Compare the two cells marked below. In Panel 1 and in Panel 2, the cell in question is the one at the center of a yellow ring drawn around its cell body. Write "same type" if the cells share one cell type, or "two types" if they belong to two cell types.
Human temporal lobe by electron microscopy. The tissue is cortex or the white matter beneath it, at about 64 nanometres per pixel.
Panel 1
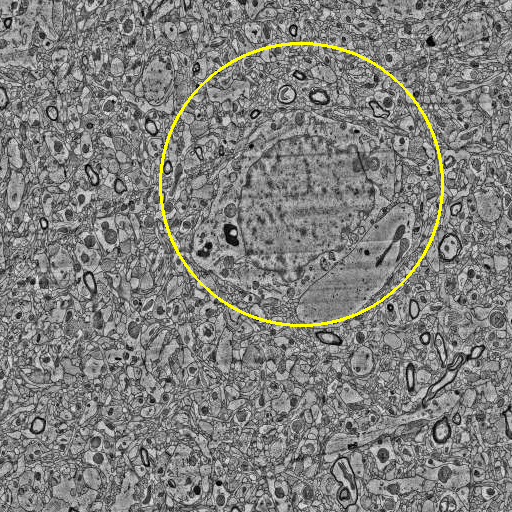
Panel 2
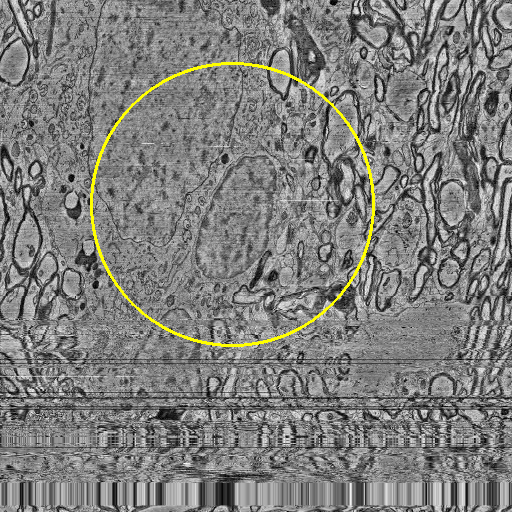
two types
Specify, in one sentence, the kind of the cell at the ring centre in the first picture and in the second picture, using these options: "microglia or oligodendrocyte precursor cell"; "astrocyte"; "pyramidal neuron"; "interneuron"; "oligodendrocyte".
So the first is an interneuron, the second an oligodendrocyte.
